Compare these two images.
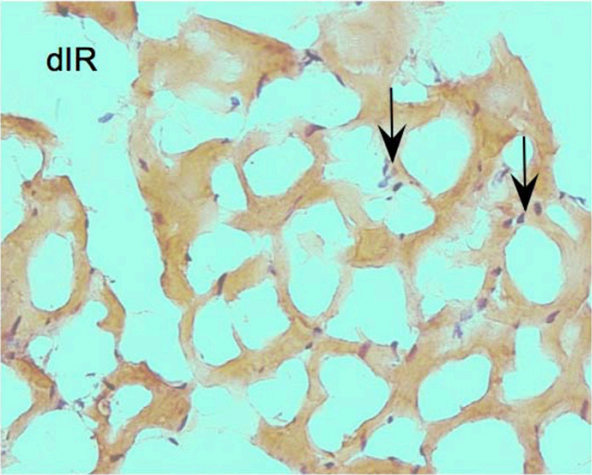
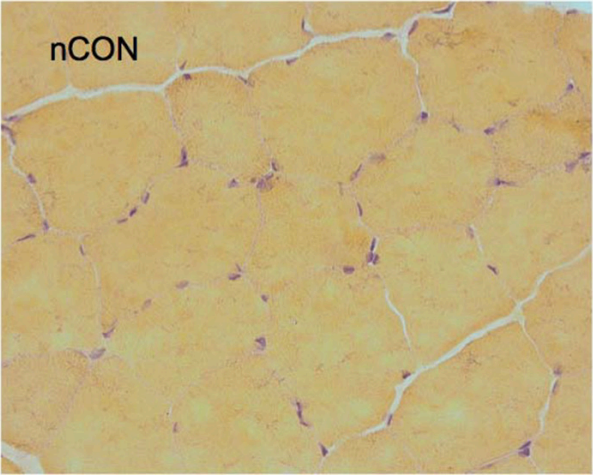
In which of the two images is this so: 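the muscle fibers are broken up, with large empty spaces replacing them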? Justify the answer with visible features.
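First image: irregular strands of tissue surround large empty holes, with no intact fiber outlines. Second image: closely packed polygonal fibers with thin gaps and small peripheral nuclei. The answer: the first image.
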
